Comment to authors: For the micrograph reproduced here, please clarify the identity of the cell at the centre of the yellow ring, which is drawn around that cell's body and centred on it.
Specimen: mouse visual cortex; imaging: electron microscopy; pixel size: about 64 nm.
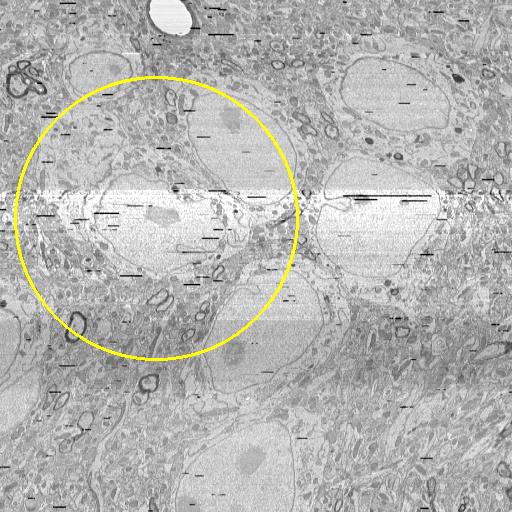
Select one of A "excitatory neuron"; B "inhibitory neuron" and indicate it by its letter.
B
